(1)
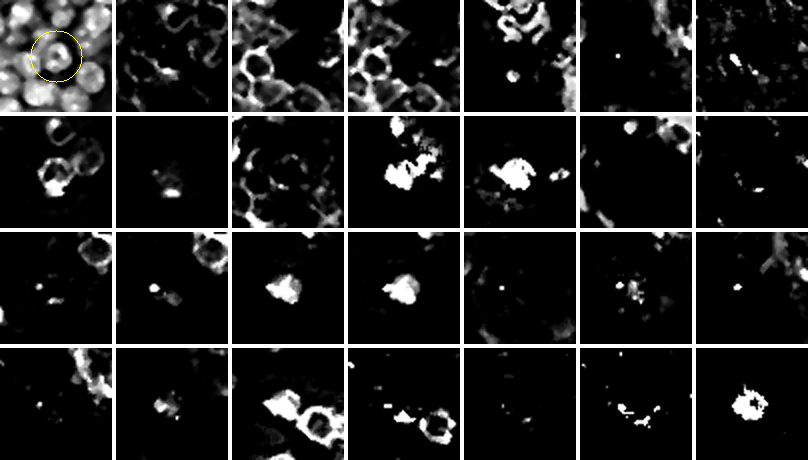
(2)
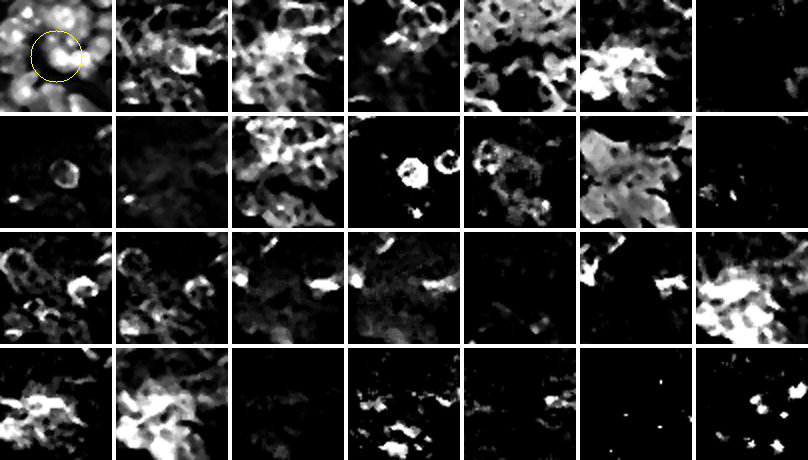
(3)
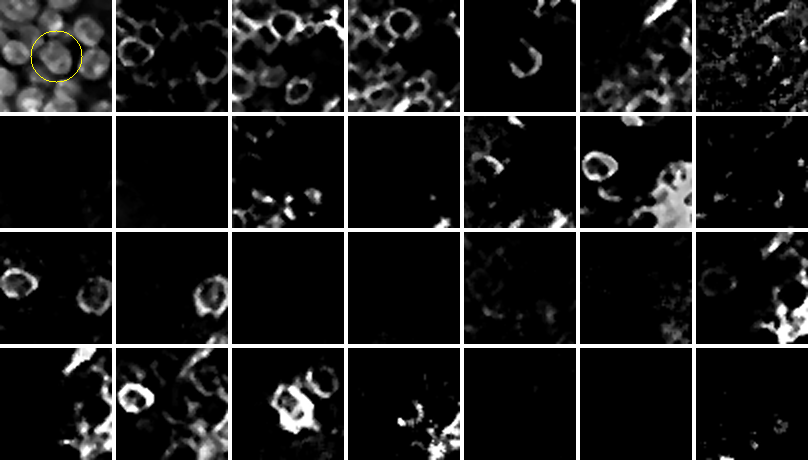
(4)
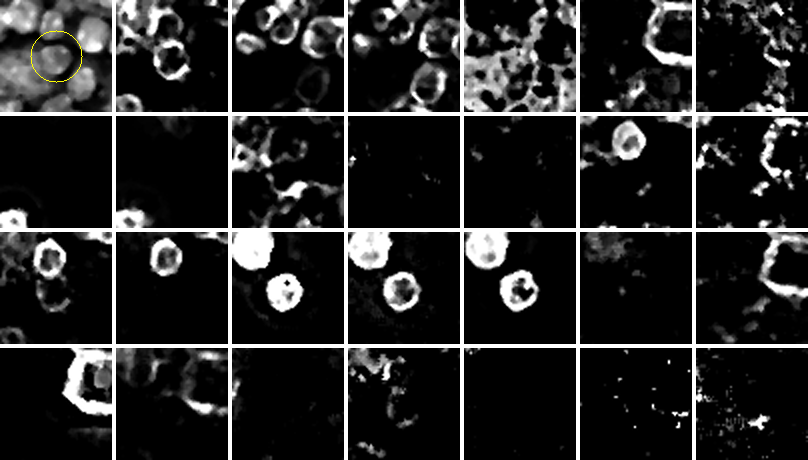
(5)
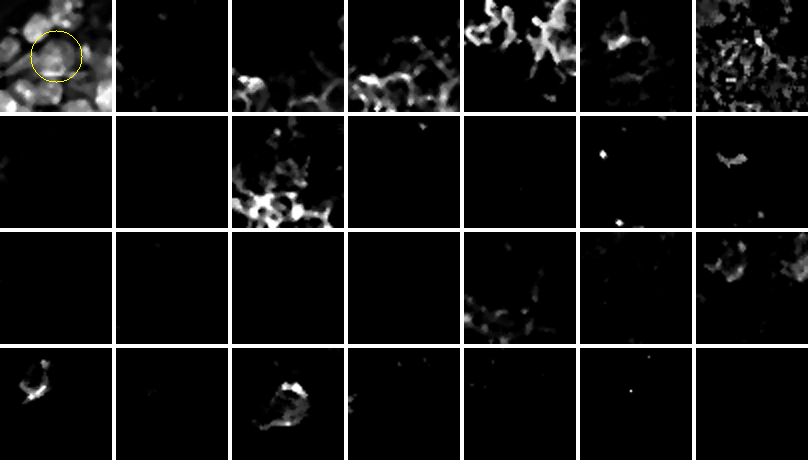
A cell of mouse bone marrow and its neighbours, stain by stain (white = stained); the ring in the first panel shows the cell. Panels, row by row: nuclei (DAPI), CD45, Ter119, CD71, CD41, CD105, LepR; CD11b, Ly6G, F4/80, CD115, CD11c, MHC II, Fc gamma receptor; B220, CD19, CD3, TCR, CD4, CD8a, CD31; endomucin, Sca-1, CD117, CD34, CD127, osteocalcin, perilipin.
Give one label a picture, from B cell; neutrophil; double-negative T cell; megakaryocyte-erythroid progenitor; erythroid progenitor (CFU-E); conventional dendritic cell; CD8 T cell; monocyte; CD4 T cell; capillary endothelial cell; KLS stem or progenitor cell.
Picture 1: double-negative T cell
Picture 2: monocyte
Picture 3: KLS stem or progenitor cell
Picture 4: CD4 T cell
Picture 5: megakaryocyte-erythroid progenitor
